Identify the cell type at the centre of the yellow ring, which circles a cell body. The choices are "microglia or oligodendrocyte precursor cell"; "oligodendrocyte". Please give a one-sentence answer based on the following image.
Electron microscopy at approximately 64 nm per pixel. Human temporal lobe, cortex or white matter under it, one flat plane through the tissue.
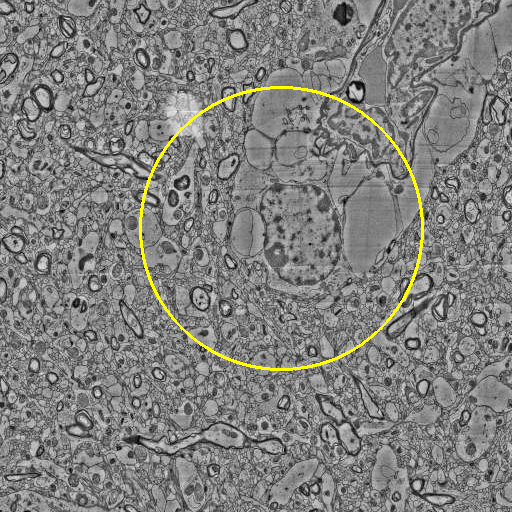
The cell marked by the ring is a microglial cell or oligodendrocyte precursor cell.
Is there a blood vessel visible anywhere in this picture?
Yes, there is a blood vessel.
